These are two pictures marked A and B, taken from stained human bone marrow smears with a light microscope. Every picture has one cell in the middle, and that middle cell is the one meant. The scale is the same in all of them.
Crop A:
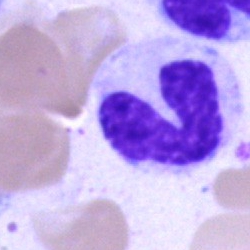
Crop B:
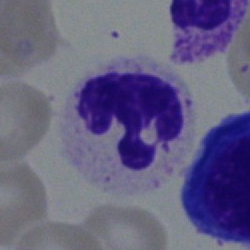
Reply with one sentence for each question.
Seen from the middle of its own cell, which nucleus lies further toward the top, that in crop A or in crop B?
It is the nucleus in crop B that lies further toward the top of its cell.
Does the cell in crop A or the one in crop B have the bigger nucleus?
The nucleus in crop A is larger, with about 1.5 times the area of the one in crop B.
